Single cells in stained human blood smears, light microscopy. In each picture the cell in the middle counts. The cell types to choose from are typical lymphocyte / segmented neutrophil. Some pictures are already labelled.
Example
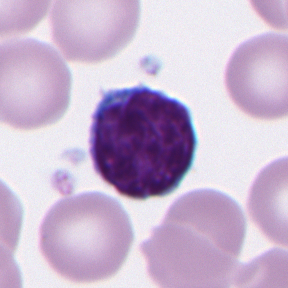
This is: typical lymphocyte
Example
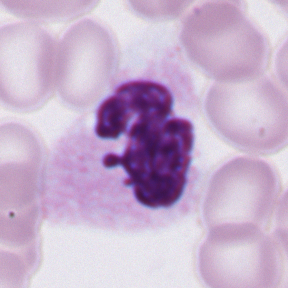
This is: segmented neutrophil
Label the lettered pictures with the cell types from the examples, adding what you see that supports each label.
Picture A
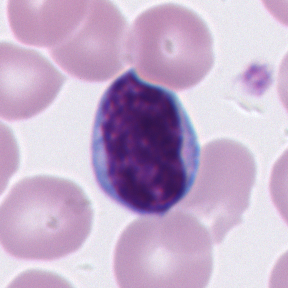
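typical lymphocyte: The cytoplasm is a thin rim that is broadest on the left side.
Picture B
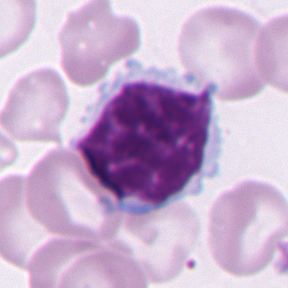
typical lymphocyte: The cytoplasm forms only a thin rim around the nucleus.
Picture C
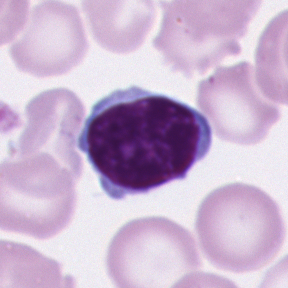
typical lymphocyte: The nucleus is a single unlobed mass.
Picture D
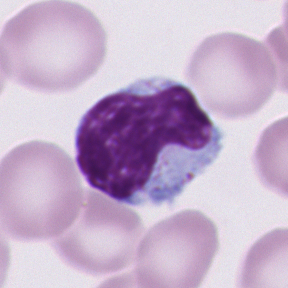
typical lymphocyte: The nucleus is notched on its lower right side, giving it a bean shape.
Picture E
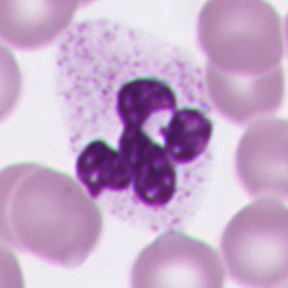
segmented neutrophil: The cytoplasm is ample and very pale pinkish-lilac.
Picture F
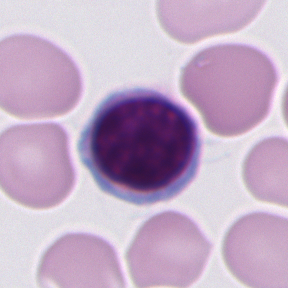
typical lymphocyte: The cytoplasm forms only a narrow rim around the nucleus.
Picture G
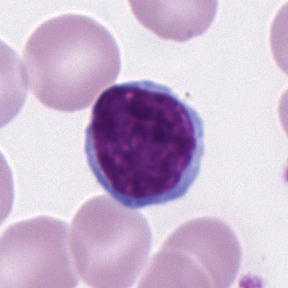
typical lymphocyte: The cytoplasm forms only a thin rim around the nucleus.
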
